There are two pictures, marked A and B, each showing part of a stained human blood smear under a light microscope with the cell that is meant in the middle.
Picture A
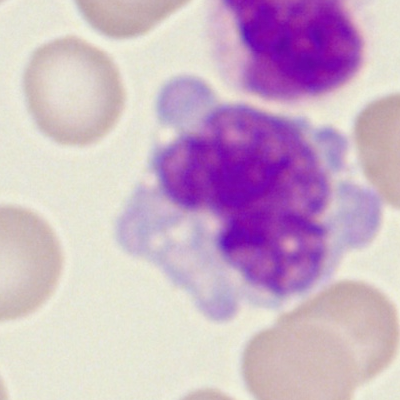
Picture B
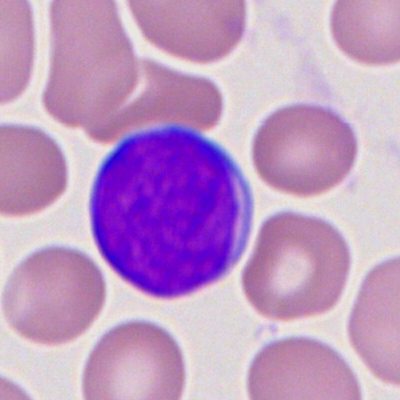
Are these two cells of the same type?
no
